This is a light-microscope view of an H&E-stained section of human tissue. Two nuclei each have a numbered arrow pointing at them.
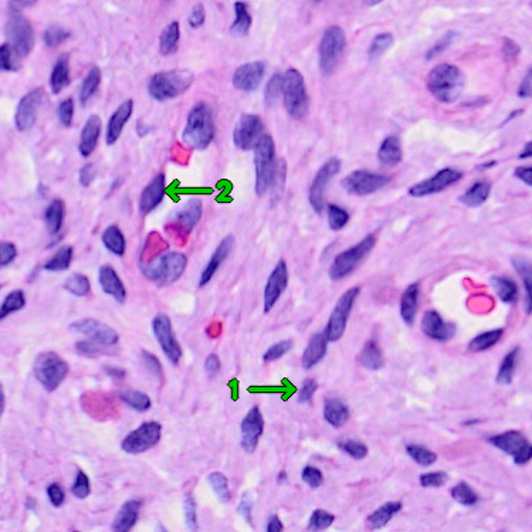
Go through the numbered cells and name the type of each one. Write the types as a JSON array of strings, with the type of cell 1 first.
["fibroblast", "endothelial cell"]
